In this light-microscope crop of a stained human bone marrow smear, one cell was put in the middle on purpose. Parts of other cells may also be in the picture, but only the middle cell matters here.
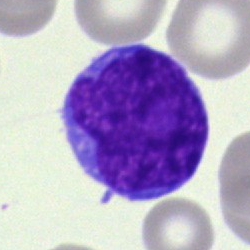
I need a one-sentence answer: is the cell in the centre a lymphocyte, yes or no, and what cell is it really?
No, the central cell is reported as a blast rather than as a lymphocyte.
